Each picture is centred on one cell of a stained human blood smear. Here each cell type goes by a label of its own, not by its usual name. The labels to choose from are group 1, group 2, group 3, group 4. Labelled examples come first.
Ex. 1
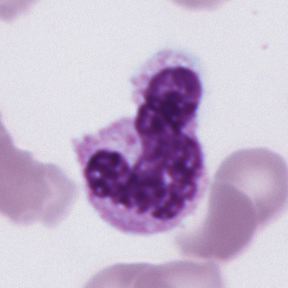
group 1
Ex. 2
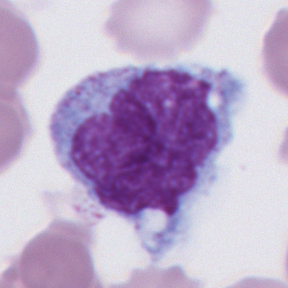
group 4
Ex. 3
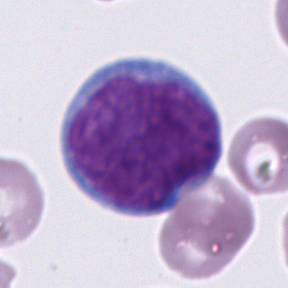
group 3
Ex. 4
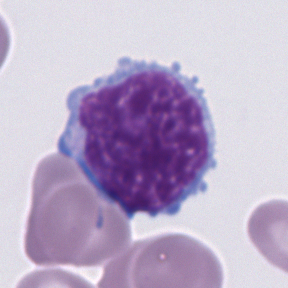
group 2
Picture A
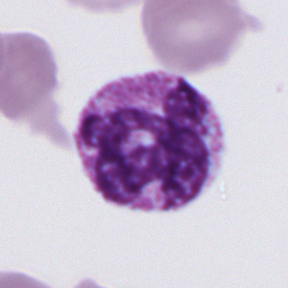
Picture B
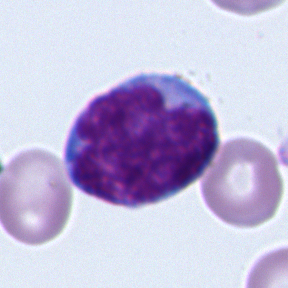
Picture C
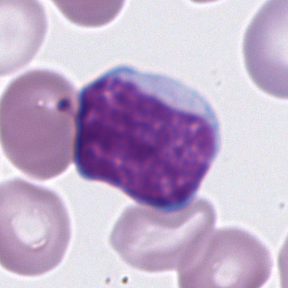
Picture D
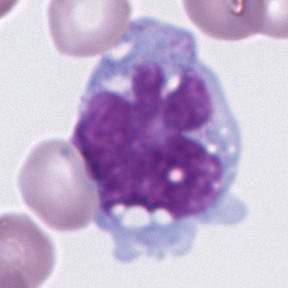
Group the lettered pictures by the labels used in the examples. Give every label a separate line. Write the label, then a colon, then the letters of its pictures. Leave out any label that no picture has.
group 1: A
group 3: B, C
group 4: D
